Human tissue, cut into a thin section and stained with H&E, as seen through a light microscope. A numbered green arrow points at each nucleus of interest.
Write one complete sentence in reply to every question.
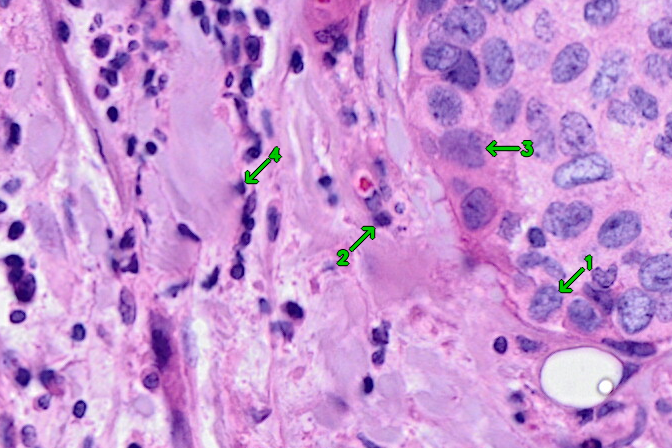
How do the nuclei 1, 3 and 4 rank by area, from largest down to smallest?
Largest first, the order by area is 3, 1, 4.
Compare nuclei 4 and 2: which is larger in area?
Number 2 is larger; its area is about 1.5 times that of number 4.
